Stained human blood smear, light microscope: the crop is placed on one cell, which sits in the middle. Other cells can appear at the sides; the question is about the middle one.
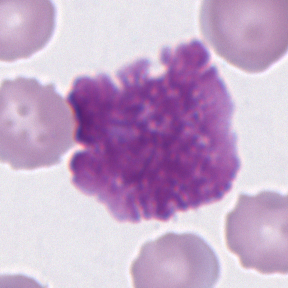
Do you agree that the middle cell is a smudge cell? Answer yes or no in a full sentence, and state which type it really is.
Yes, the cell in the central position is a smudge cell.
